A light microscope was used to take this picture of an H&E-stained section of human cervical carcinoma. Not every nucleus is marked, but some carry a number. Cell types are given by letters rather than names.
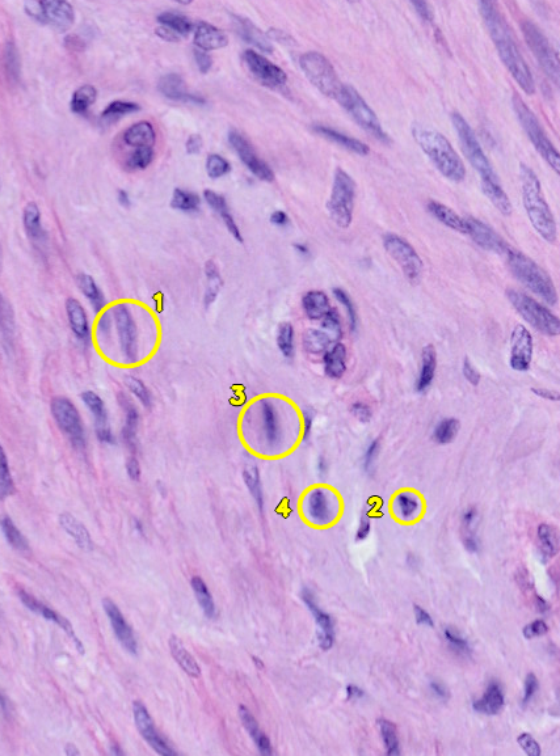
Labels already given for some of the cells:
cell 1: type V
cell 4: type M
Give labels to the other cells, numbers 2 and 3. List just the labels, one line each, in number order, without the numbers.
type M
type M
